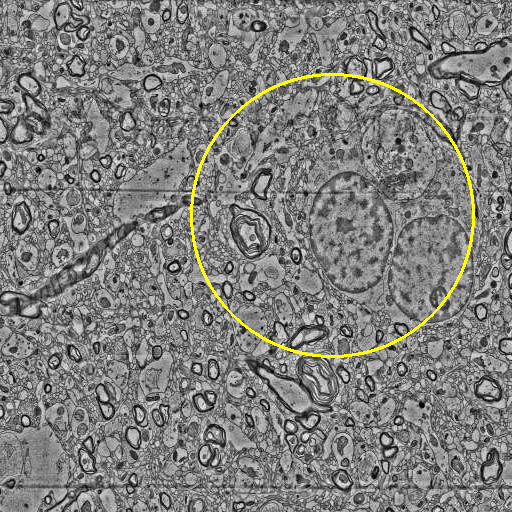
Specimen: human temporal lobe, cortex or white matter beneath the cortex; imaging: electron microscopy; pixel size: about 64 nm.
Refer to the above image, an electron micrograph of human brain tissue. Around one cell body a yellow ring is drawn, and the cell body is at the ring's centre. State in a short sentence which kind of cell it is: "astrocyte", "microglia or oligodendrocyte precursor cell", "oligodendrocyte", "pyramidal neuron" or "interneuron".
The centre of the ring falls on an oligodendrocyte.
